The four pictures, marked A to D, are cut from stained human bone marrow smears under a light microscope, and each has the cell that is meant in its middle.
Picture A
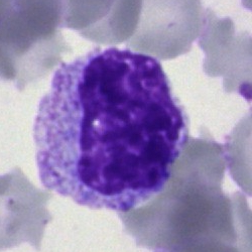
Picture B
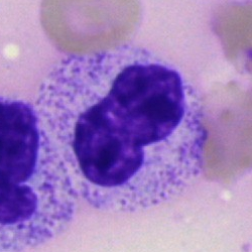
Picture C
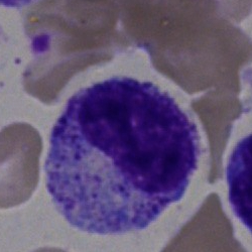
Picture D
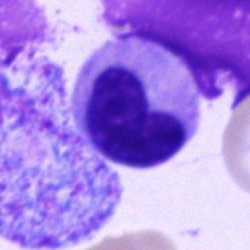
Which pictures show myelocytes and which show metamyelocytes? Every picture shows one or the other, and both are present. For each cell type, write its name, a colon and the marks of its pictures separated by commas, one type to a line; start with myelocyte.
myelocyte: A, C
metamyelocyte: B, D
